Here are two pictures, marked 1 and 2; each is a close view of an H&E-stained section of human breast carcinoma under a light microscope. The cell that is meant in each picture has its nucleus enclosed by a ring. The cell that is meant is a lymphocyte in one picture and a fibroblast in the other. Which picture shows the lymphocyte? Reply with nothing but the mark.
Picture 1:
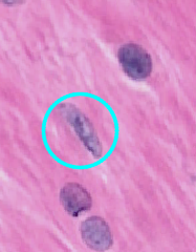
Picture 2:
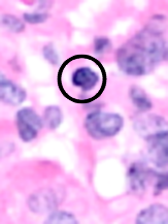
2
